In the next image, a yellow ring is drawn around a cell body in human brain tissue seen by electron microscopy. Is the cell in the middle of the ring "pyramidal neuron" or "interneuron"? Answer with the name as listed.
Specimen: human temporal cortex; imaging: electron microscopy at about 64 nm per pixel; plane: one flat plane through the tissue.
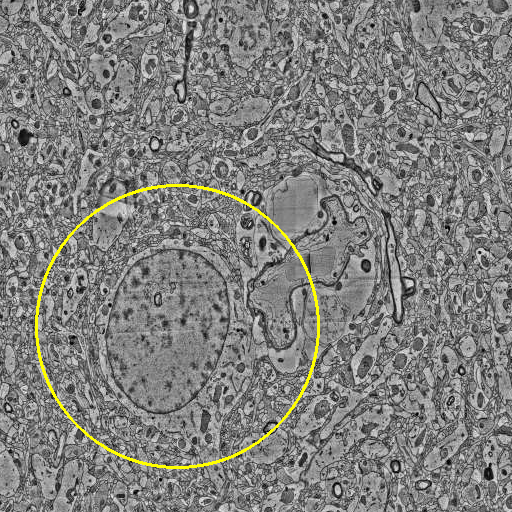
pyramidal neuron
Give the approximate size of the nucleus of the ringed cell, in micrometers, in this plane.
Roughly 11 micrometres by 8 micrometres, in this plane.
